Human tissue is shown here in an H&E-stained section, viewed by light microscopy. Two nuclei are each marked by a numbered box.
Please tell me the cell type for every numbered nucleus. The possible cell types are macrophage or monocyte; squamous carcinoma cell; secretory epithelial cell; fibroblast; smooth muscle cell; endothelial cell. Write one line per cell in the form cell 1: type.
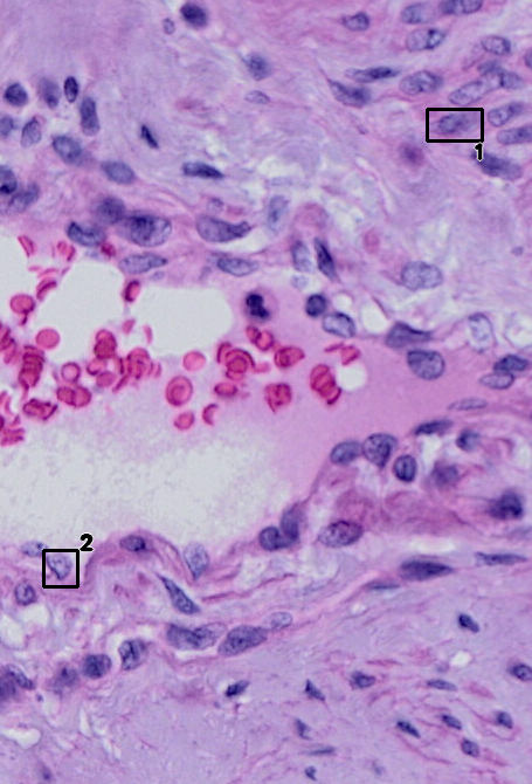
cell 1: smooth muscle cell
cell 2: endothelial cell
